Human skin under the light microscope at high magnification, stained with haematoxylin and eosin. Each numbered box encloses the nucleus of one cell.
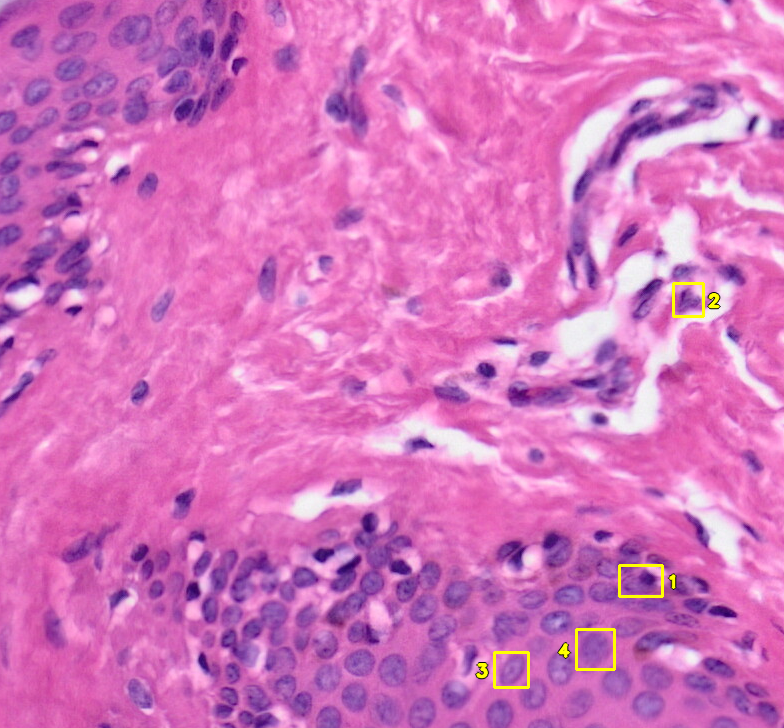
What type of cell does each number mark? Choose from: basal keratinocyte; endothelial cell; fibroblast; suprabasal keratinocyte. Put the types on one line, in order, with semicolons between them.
basal keratinocyte; endothelial cell; suprabasal keratinocyte; suprabasal keratinocyte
